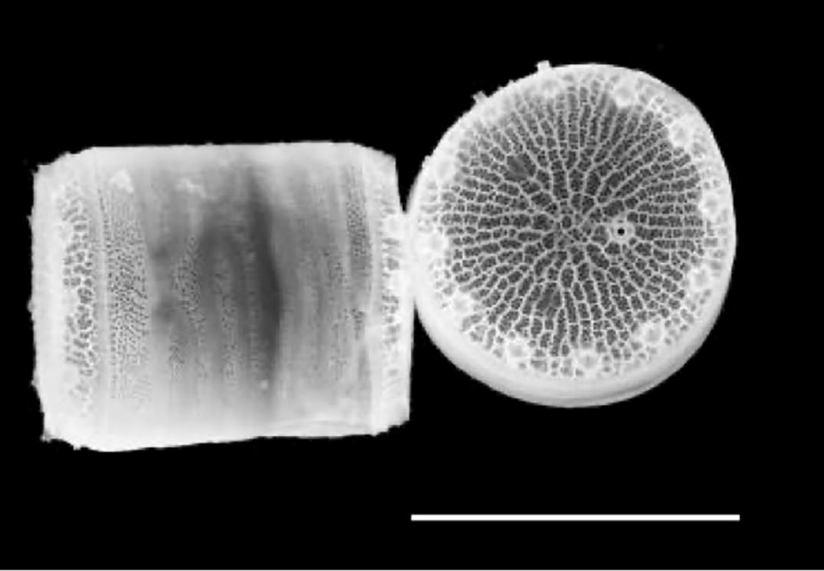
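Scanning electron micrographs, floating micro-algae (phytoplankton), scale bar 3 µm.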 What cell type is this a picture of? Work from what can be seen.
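A cylindrical, box-like shell is seen from the side next to a round shell seen end-on. The round face is perforated by many small pores arranged in radiating rows. The wall has a rigid, finely porous, glass-like appearance. That points to this answer: diatom.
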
